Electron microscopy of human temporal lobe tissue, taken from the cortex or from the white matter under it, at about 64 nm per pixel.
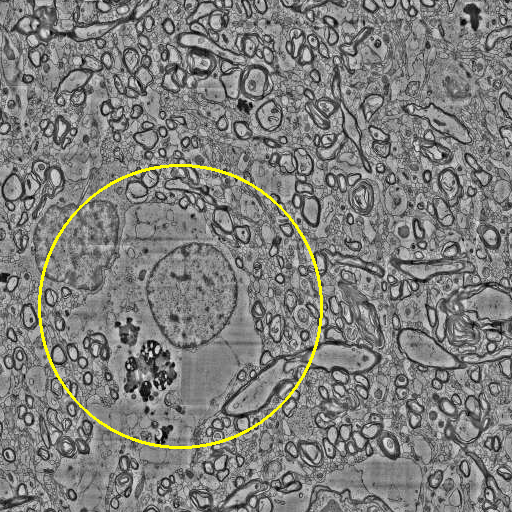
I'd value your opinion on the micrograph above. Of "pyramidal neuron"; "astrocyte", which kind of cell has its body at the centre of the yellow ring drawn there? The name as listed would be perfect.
astrocyte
